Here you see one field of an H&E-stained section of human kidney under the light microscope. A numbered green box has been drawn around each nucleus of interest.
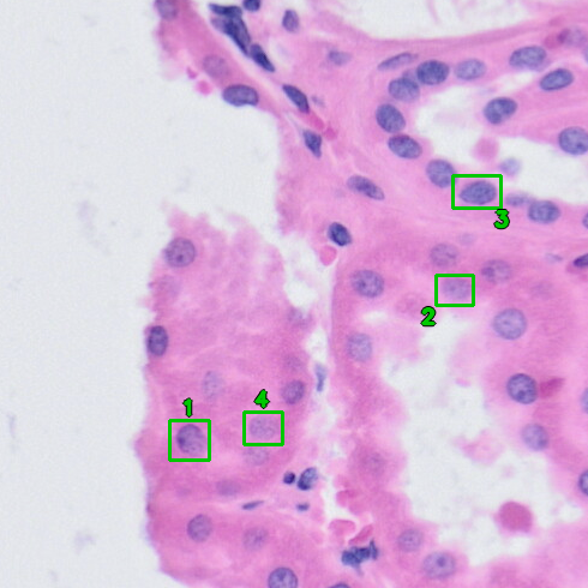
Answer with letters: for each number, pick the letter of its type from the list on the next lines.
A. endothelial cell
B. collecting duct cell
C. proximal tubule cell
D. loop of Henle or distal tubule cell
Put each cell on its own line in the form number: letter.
1: C
2: C
3: D
4: C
